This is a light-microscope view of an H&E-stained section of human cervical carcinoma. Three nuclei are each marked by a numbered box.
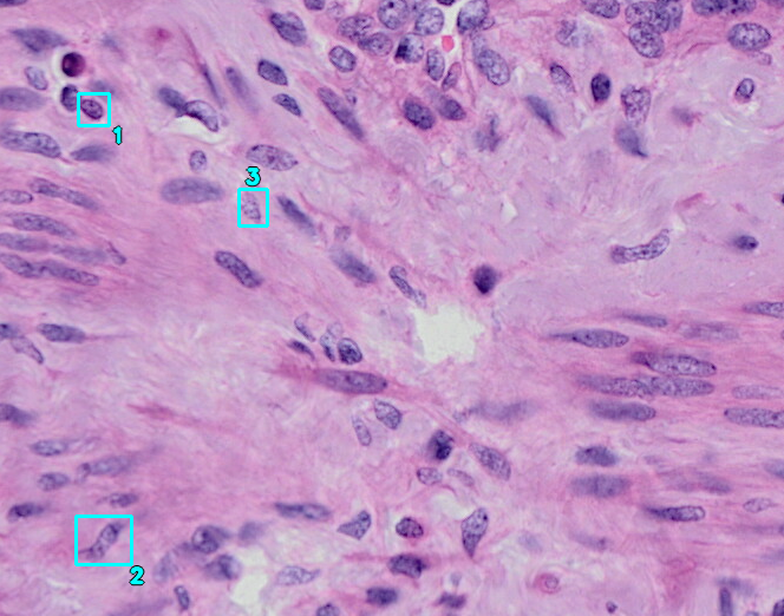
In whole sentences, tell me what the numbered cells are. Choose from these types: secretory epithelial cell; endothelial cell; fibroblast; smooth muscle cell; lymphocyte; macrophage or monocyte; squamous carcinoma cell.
Cell 1 is a lymphocyte. Cell 2 is a smooth muscle cell. Cell 3 is a fibroblast.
